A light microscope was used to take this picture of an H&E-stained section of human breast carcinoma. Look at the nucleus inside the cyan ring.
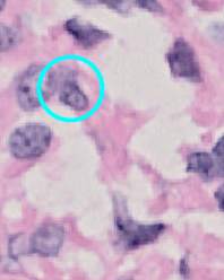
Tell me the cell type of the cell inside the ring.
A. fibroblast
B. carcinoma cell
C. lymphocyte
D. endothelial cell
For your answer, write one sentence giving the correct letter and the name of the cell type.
Option B is the one to take: the cell inside the ring is a carcinoma cell.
